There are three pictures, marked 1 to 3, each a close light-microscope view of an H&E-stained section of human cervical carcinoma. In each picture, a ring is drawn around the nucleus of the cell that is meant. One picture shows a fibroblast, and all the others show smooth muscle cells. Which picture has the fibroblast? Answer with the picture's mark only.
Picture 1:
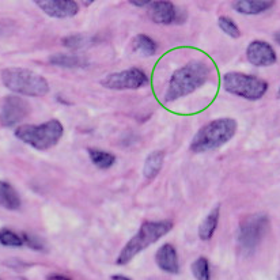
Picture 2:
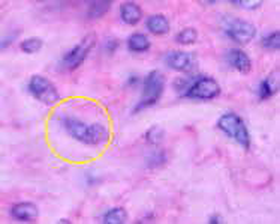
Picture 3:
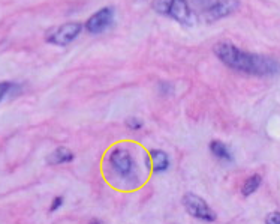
1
